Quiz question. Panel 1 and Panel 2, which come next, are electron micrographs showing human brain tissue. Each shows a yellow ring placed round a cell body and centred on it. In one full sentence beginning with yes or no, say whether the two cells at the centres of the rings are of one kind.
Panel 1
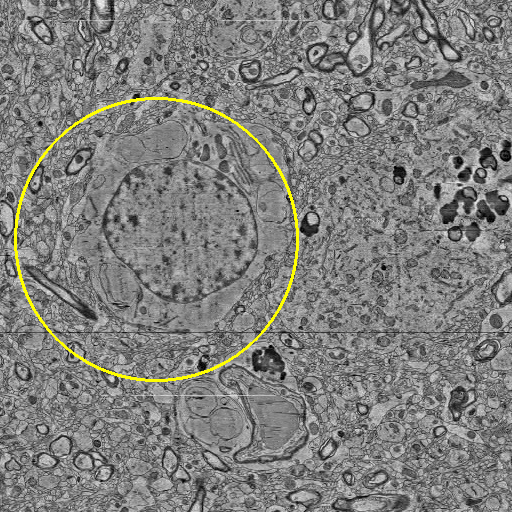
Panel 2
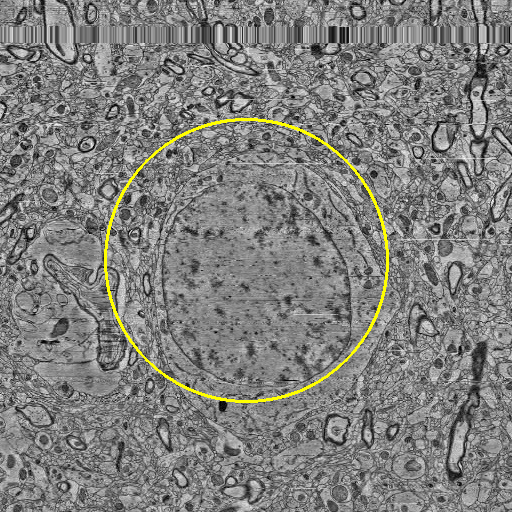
No, Panel 1 and Panel 2 show two kinds of cell at the centre of the ring.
